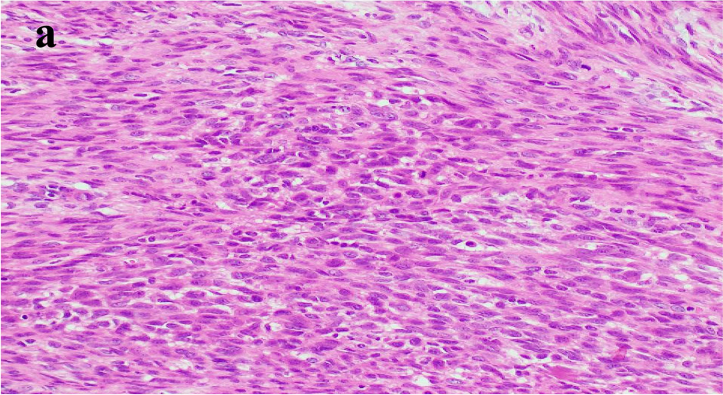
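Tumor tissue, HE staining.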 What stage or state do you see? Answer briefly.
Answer: Spindle-shaped.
